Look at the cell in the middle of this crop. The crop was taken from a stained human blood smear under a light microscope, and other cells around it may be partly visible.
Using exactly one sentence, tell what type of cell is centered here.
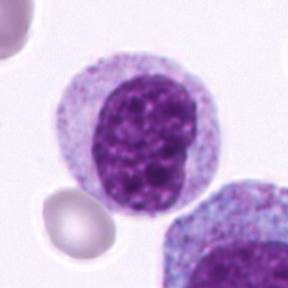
By classification, the middle cell of this crop is a metamyelocyte.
